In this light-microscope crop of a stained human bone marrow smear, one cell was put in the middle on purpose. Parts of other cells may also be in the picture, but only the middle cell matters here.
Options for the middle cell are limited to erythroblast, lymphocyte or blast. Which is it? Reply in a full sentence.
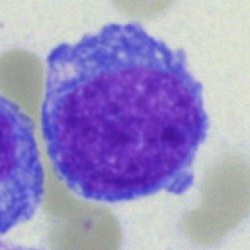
The centrally positioned cell in the crop represents a blast.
